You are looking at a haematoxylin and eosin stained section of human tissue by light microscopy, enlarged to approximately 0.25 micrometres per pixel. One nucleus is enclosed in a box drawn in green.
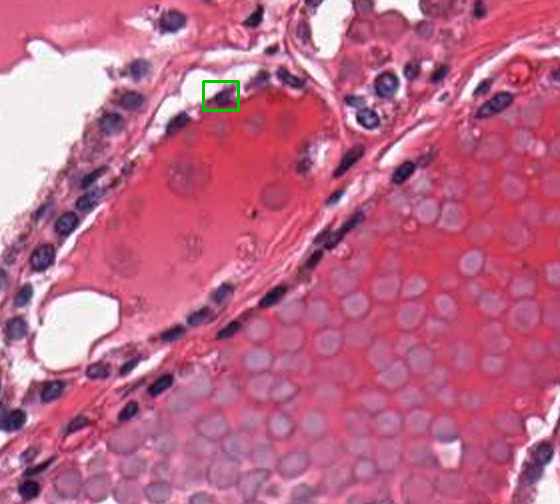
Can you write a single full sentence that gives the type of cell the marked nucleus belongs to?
Located in a thyroid follicular cell is the marked nucleus.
